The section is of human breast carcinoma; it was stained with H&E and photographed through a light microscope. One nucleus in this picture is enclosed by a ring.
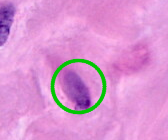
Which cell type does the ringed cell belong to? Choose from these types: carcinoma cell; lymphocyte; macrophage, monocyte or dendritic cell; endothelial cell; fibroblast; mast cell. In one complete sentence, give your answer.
As to its cell type, the ringed cell is a fibroblast.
